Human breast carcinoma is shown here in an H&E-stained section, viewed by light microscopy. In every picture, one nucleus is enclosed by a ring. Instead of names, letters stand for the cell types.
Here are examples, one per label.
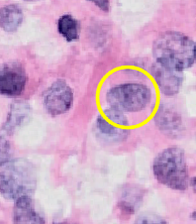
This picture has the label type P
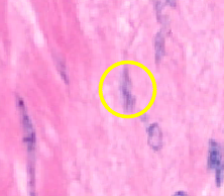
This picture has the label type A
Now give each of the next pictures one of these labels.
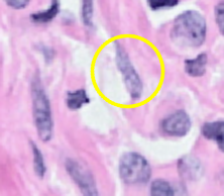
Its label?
type A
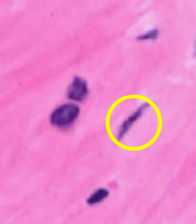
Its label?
type A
